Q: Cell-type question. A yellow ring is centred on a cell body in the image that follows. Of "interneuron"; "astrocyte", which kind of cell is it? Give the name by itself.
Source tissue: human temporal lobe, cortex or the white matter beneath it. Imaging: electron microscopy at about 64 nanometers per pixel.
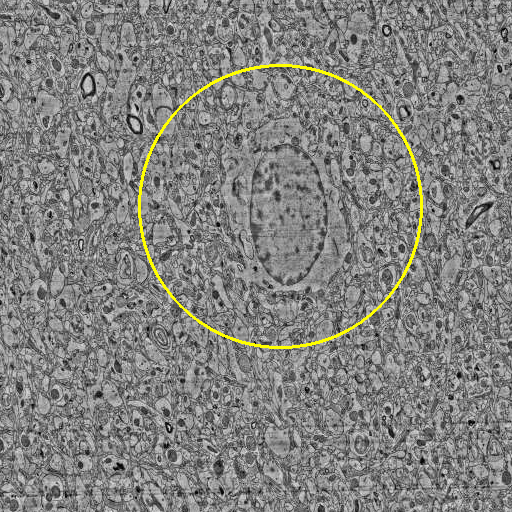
astrocyte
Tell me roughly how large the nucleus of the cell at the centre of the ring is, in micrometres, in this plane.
Roughly 9 by 5 micrometers, clearly longer than it is wide in this plane.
